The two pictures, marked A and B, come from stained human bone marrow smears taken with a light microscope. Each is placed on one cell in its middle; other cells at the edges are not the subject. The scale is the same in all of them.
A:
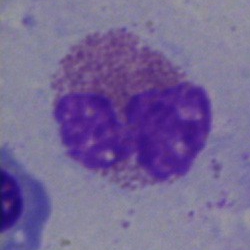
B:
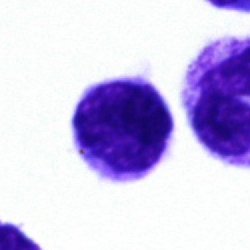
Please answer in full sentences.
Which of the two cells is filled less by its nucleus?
The nucleus fills less of the cell in crop A than in crop B.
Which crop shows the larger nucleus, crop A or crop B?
The nucleus in crop A is larger, with about 1.5 times the area of the one in crop B.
